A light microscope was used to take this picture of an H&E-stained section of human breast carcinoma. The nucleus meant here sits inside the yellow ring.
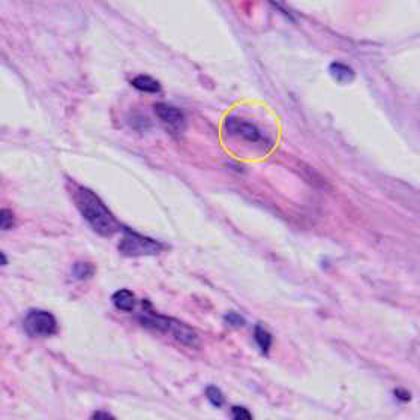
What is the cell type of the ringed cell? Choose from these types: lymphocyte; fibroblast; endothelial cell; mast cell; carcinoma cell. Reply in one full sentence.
Within the stained tissue, the ringed cell is an endothelial cell.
